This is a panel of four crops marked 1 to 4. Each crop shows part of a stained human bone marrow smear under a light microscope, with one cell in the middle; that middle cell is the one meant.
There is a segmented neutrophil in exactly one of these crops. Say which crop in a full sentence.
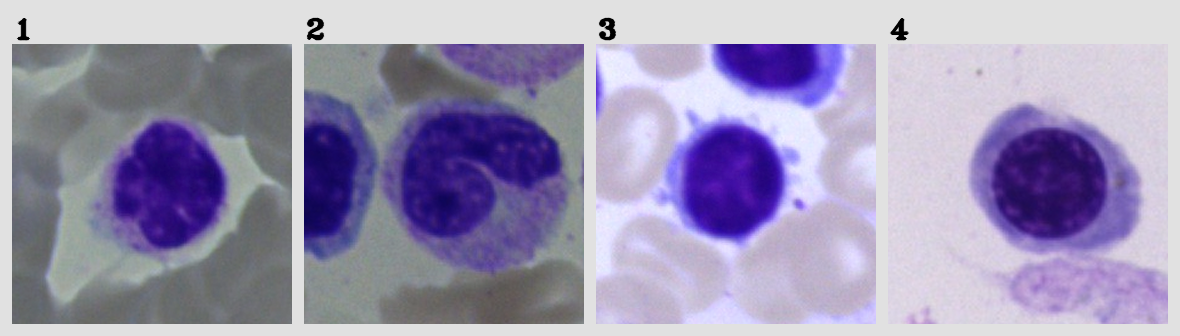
It is in crop 1 that a segmented neutrophil is shown.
